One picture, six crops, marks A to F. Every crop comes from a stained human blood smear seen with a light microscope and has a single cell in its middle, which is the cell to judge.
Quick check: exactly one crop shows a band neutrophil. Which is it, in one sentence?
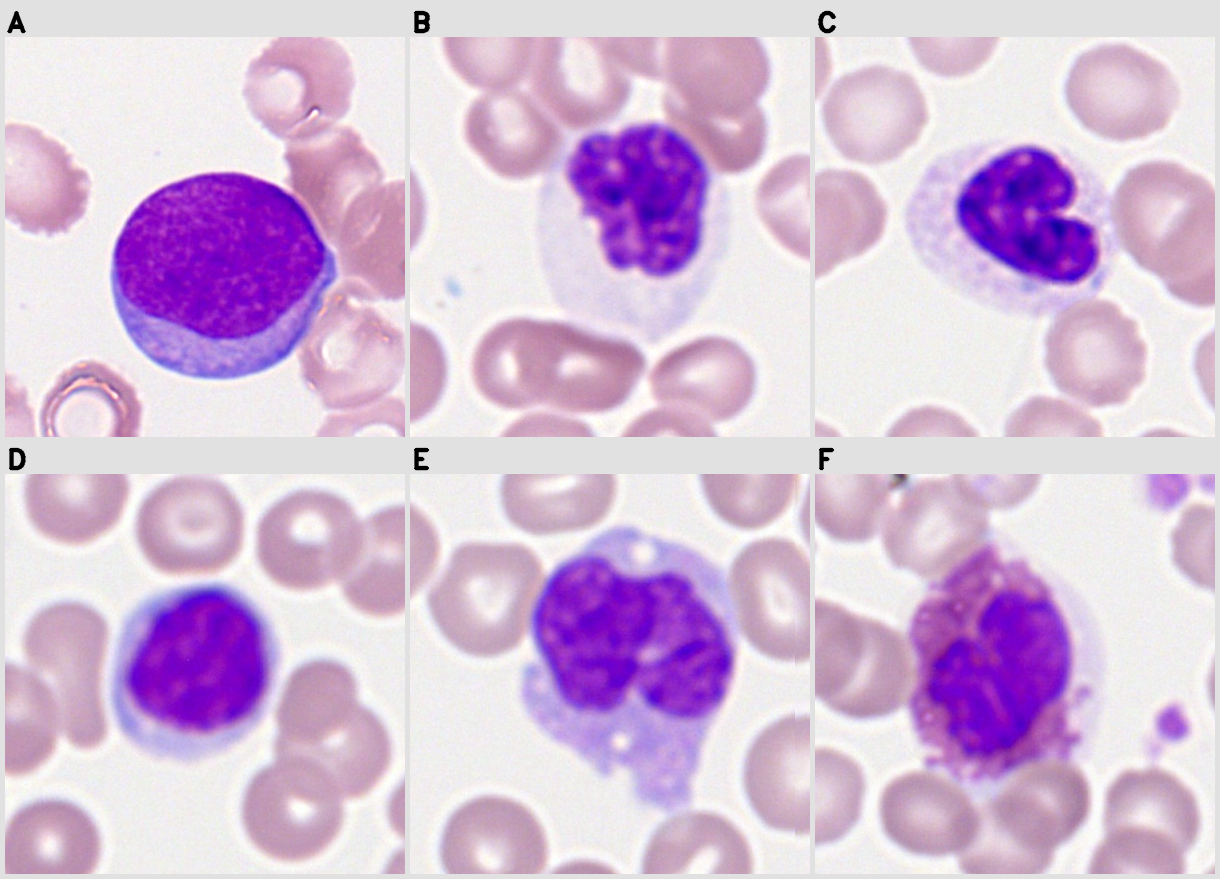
Crop C is the crop featuring a band neutrophil at its center.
